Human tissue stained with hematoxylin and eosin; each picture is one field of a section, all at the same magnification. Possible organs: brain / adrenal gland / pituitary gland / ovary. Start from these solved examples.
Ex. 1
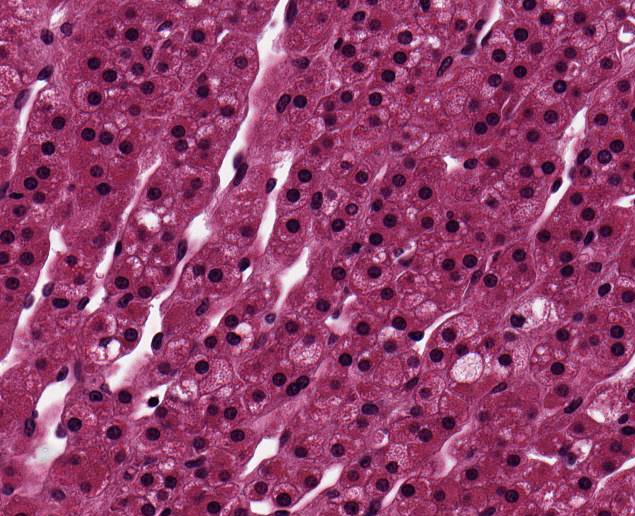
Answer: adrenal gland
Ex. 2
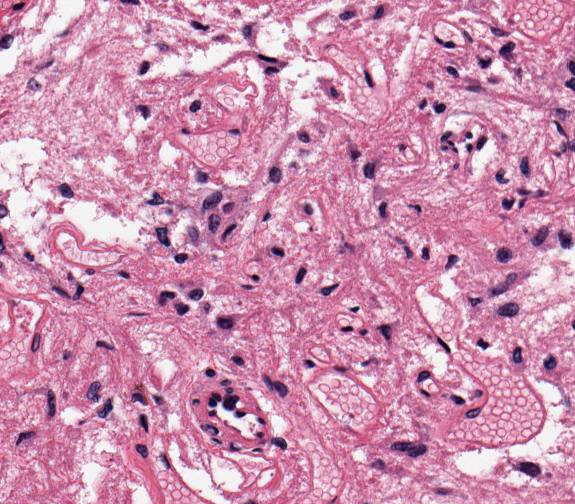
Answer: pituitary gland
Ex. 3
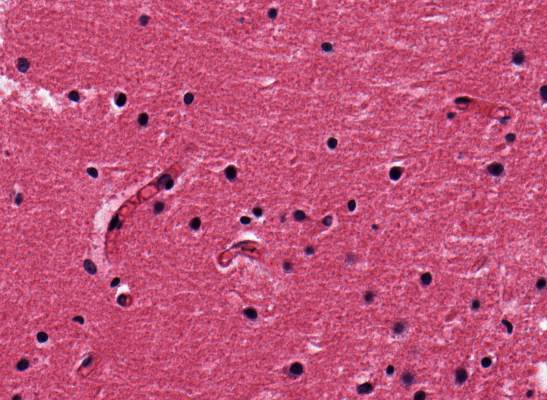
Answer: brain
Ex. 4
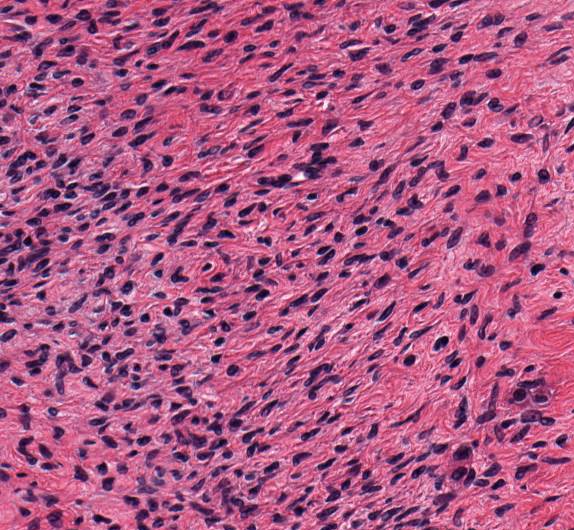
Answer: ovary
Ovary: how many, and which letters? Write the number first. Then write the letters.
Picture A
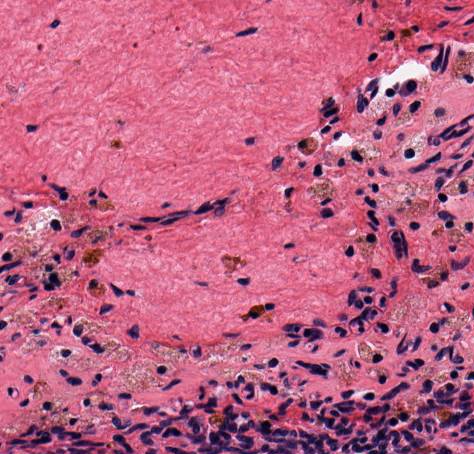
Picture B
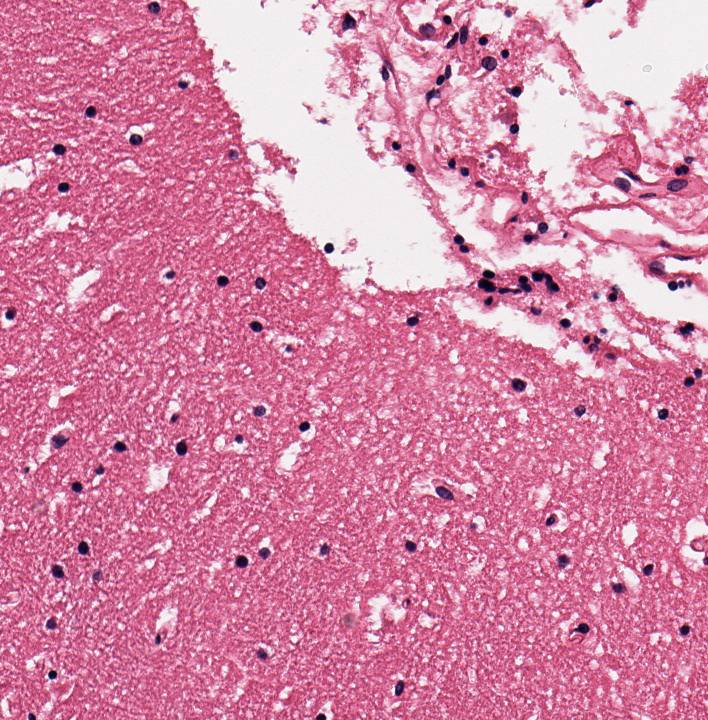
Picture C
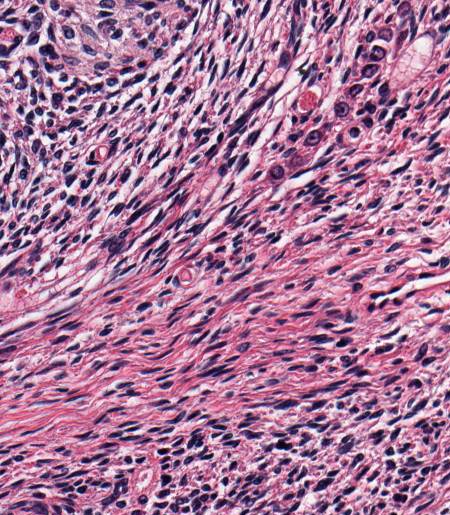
Count: 2 (A, C)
